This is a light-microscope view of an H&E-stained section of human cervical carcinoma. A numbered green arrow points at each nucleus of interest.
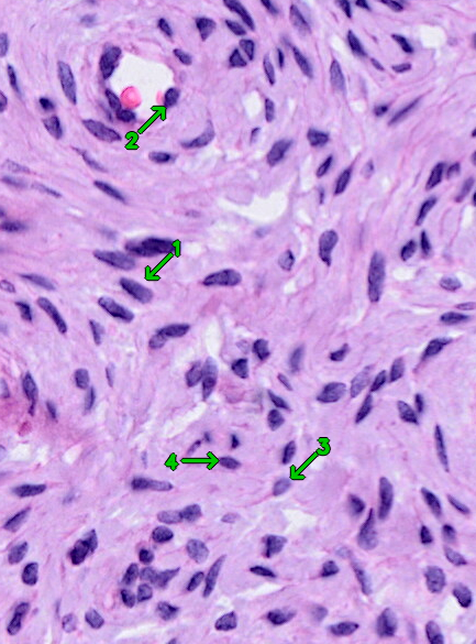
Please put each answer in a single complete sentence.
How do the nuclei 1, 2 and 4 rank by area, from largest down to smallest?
Largest first, the order by area is 1, 2, 4.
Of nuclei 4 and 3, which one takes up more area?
Nucleus 3 is larger, with an area about 2 times that of nucleus 4.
